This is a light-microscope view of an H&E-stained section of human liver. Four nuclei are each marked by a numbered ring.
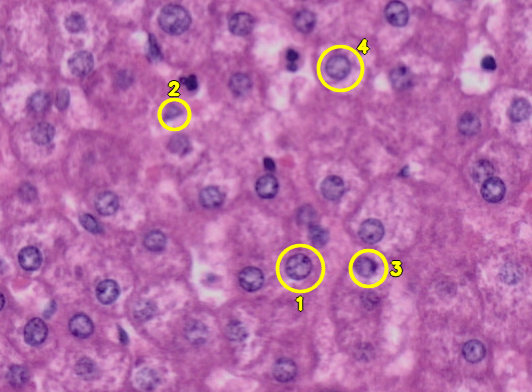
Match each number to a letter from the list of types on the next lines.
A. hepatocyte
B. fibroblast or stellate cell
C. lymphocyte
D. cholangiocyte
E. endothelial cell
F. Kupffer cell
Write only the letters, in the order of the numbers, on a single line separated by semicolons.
A; F; A; A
